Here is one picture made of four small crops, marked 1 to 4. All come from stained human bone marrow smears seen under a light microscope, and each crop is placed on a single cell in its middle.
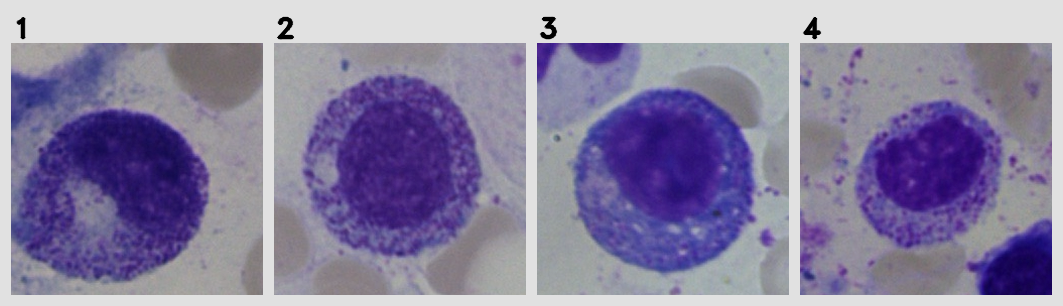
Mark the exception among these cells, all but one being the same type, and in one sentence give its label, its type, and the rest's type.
Crop 3 is the sole crop with a promyelocyte; the others all have myelocytes.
